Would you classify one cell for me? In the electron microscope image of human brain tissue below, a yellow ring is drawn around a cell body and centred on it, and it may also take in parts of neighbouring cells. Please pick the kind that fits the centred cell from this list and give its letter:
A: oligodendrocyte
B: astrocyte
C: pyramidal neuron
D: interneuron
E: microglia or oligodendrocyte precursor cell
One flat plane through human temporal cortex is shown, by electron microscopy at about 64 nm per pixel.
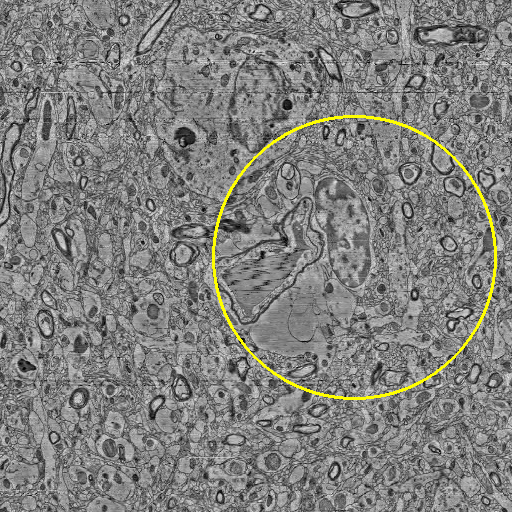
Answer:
E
